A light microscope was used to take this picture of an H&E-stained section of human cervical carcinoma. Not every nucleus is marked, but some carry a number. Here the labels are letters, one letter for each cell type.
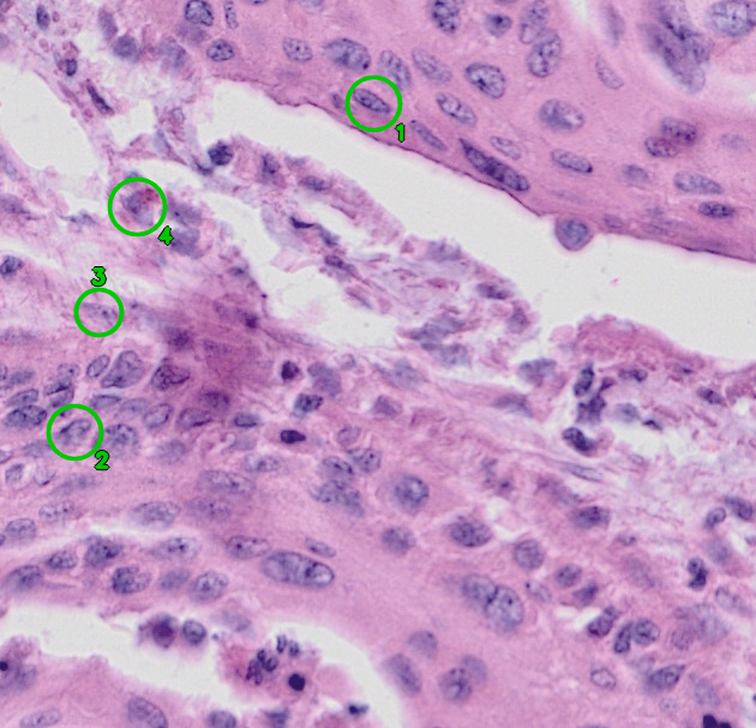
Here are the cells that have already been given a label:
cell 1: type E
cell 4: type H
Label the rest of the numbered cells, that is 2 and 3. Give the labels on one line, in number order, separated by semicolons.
type E; type H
